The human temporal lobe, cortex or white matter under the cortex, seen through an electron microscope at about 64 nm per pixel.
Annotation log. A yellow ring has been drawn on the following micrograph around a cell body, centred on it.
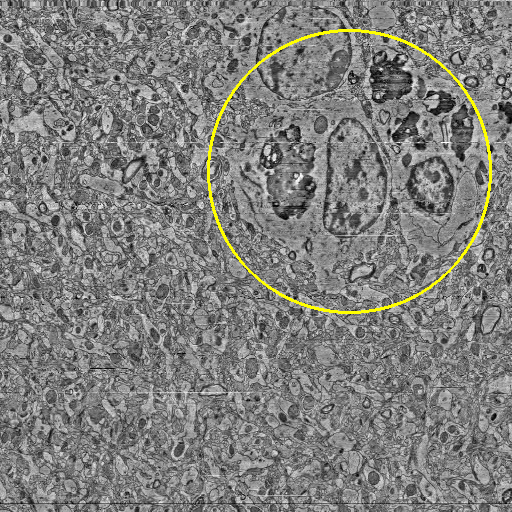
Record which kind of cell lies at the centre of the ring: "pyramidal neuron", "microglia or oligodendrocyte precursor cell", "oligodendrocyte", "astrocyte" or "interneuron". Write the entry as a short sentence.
The cell the ring is centred on is an astrocyte.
